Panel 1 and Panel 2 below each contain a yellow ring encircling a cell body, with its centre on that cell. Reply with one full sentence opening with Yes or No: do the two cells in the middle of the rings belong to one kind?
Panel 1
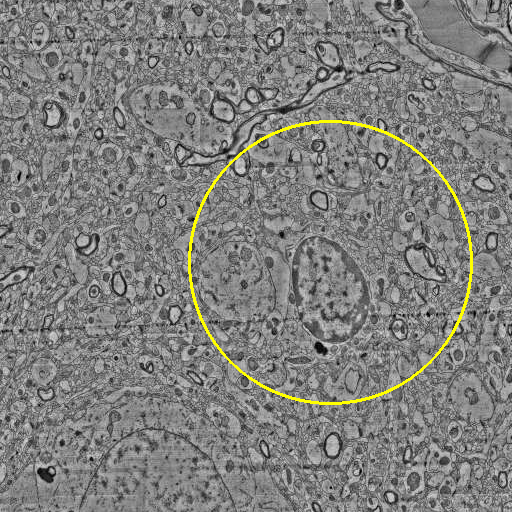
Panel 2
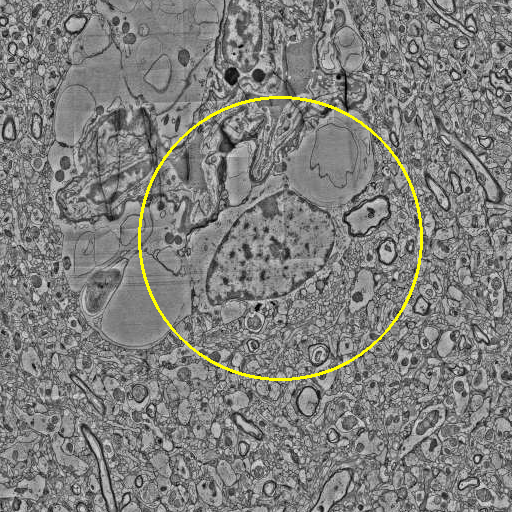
Yes, the cells at the middle of the Panel 1 ring and the Panel 2 ring are of one kind.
